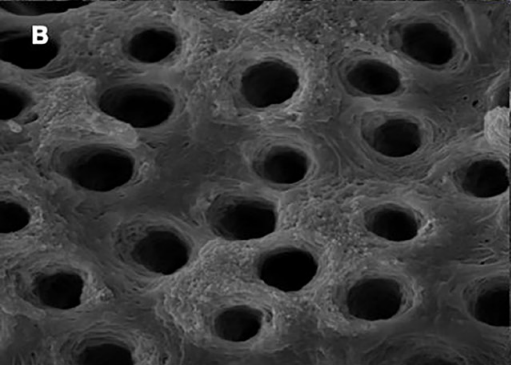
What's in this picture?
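This is a dentin surface seen by scanning electron microscopy, with many round dark openings of the dentinal tubules spread across it. The dentin between the openings has a fine, slightly granular texture. No loose clumps or particles lie on the surface or in the openings, so the tubules appear open and clean.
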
